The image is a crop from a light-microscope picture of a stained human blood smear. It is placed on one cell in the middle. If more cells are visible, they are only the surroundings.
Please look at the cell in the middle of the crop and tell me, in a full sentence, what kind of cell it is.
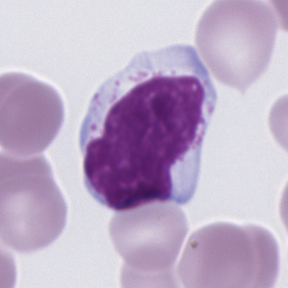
The cell at the middle of the frame should be recorded as a large granular lymphocyte.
